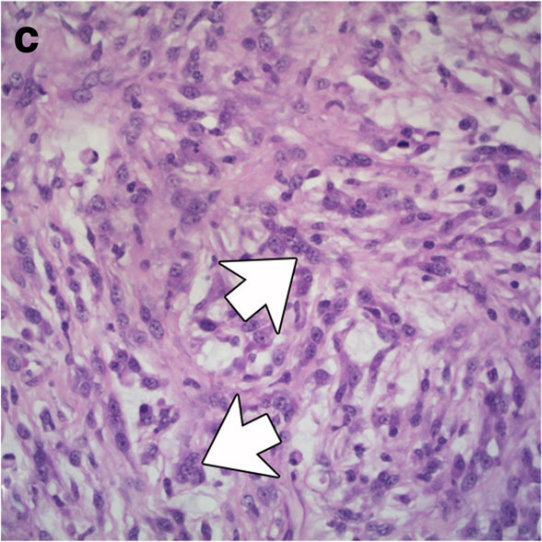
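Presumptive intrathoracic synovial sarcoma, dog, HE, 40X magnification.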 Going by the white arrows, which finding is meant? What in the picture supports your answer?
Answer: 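The arrows point to cells holding more than one nucleus. Most surrounding cells have a single nucleus. The answer: multinucleate.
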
